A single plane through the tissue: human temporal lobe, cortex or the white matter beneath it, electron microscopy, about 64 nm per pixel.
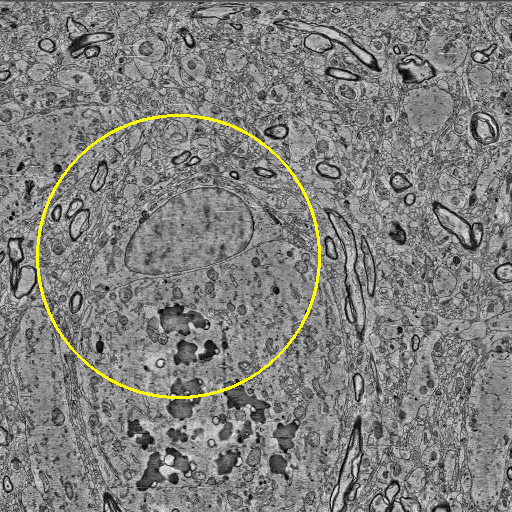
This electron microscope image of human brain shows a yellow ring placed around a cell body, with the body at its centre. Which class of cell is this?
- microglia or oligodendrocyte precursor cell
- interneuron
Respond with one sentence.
The cell body at the ring's centre is a microglial cell or oligodendrocyte precursor cell.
